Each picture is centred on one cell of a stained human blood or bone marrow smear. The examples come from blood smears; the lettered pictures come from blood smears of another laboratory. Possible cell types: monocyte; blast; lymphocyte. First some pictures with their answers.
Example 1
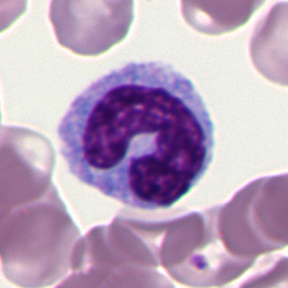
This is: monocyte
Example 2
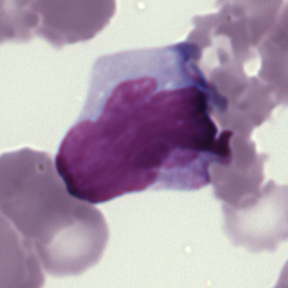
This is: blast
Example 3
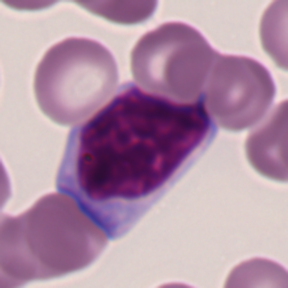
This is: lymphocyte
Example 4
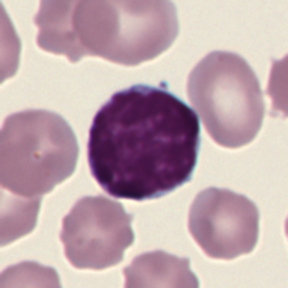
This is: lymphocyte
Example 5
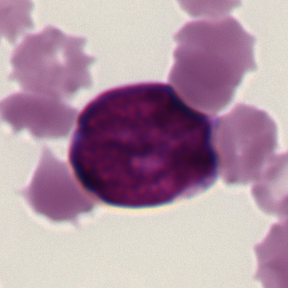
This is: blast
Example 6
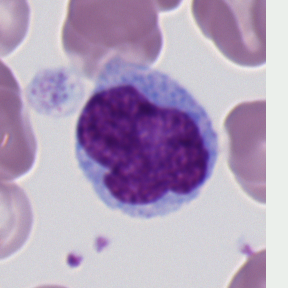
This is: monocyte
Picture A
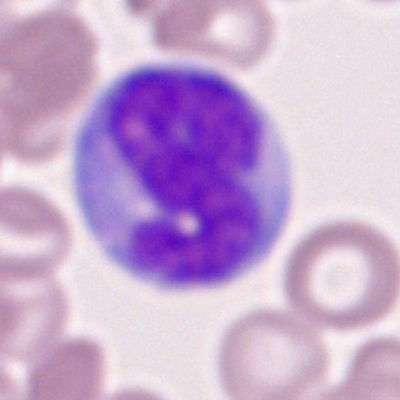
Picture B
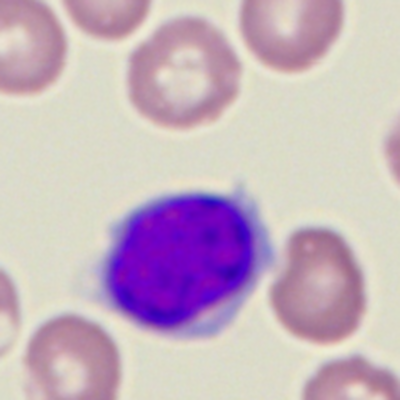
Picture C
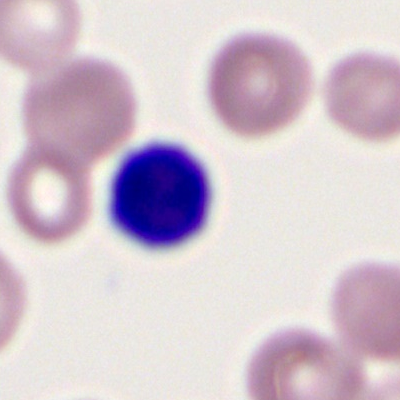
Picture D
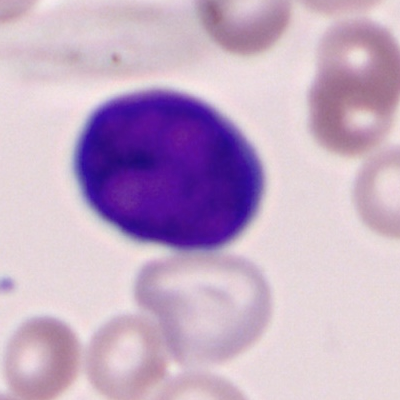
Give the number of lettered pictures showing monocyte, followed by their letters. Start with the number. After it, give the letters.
1, namely A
